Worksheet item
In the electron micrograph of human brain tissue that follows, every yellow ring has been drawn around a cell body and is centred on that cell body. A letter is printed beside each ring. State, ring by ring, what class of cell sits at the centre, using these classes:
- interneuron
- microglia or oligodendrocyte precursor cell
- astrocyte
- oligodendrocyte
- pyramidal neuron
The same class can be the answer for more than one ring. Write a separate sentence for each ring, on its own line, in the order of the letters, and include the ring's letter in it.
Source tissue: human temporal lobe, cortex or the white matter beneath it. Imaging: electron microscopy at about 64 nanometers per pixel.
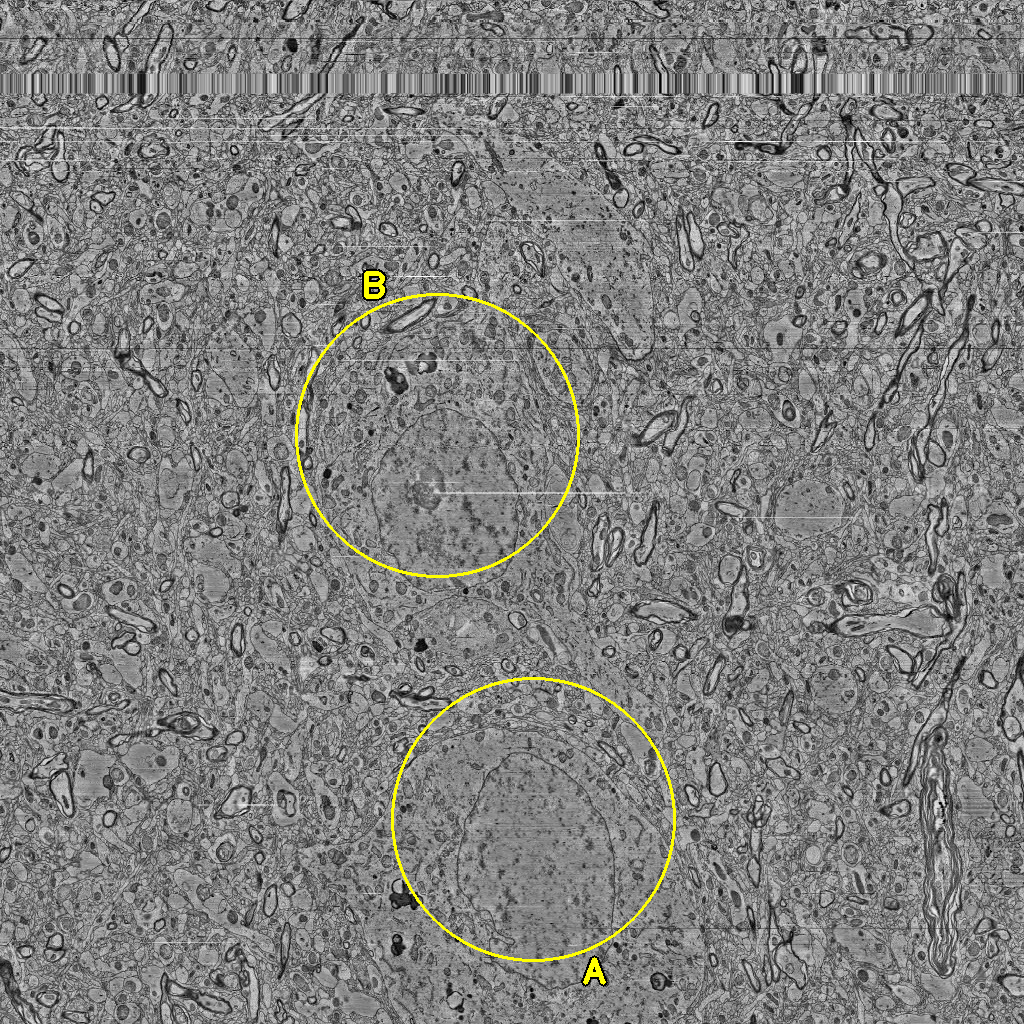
At the centre of ring A sits a pyramidal neuron.
At the centre of ring B sits an interneuron.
